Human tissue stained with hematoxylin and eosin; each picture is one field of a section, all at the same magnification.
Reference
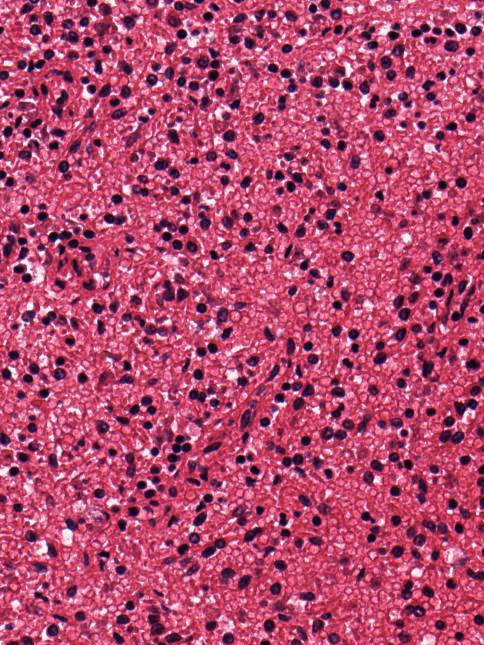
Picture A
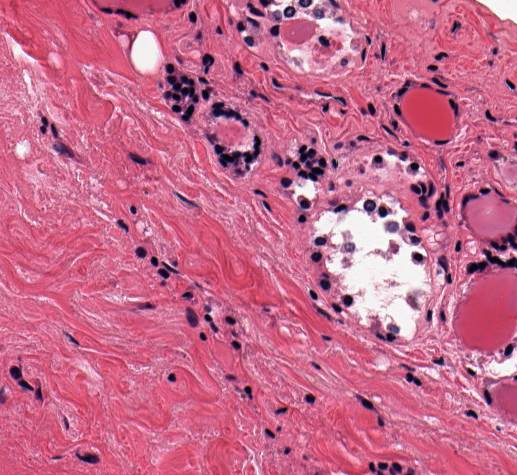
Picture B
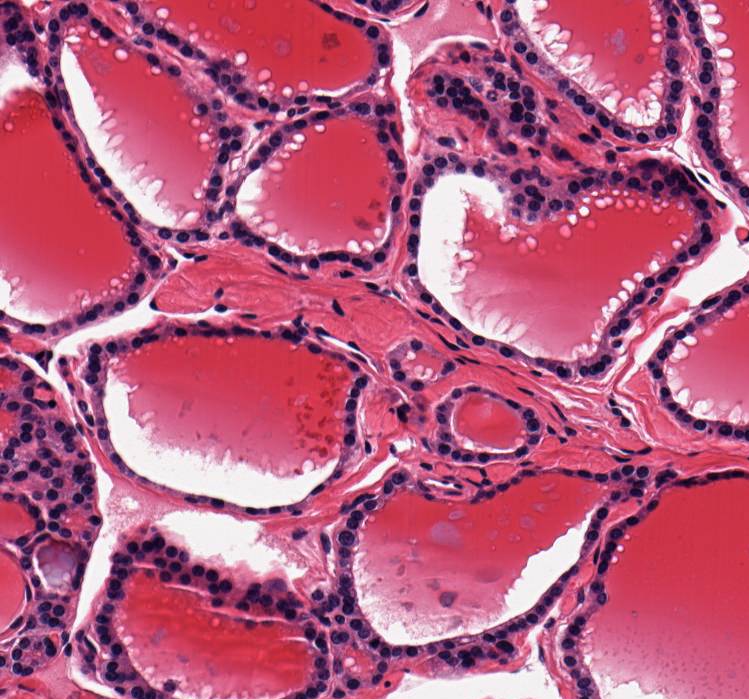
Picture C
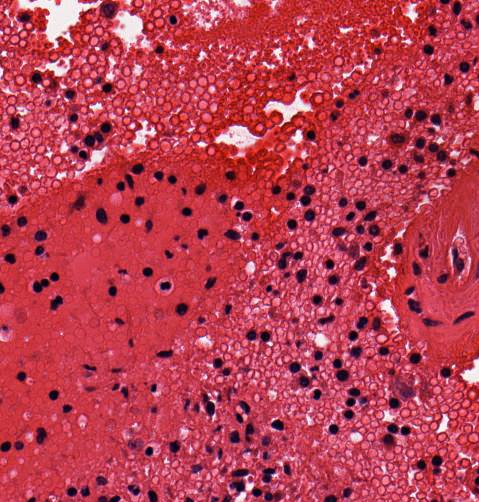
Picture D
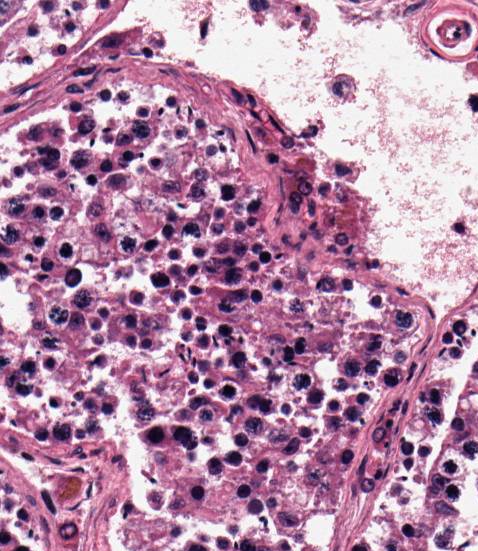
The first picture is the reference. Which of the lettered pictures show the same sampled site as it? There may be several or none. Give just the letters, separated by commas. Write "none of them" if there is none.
C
